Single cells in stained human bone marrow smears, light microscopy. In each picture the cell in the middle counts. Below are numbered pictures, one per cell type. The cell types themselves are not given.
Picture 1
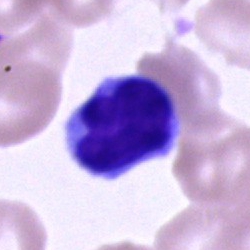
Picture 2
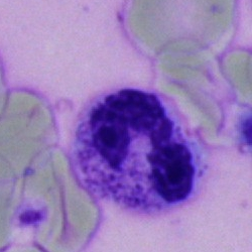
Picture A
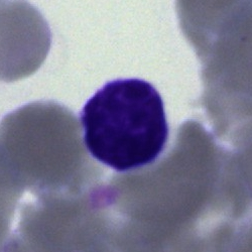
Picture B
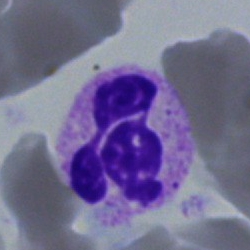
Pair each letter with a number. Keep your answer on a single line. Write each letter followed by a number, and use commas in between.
A 1, B 2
